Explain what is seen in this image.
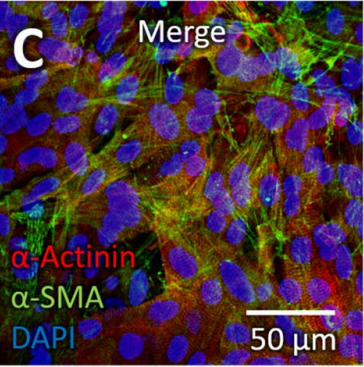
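A dense cultured layer of cardiomyocytes intermixed with myofibroblasts. Red cells carry fine regular cross-striations of their contractile apparatus, while green straight fibres run across the field without striations.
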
